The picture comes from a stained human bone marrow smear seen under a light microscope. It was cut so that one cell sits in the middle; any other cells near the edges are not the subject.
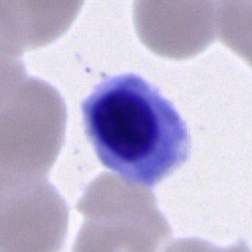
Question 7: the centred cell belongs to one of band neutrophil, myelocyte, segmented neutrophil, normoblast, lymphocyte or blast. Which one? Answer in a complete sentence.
The central element of this crop is a cell, namely a normoblast.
